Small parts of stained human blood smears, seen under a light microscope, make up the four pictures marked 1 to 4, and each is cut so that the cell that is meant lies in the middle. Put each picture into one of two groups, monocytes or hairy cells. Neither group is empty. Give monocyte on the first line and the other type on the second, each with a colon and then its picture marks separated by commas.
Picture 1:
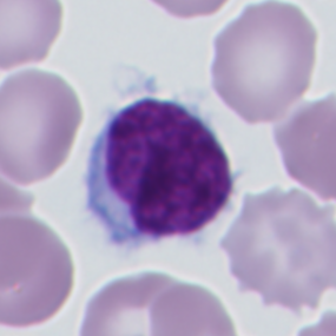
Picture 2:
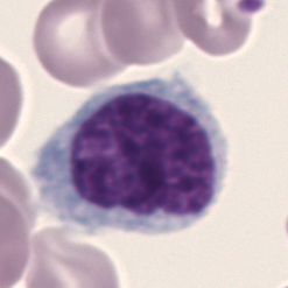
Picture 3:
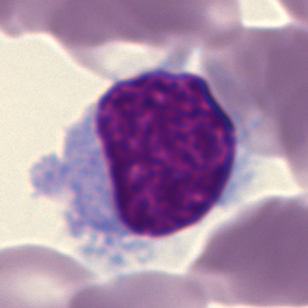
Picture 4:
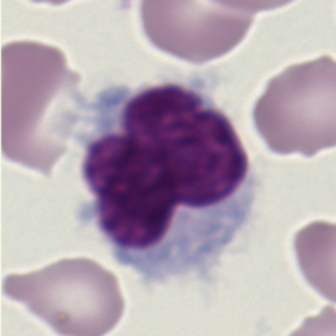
monocyte: 2
hairy cell: 1, 3, 4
